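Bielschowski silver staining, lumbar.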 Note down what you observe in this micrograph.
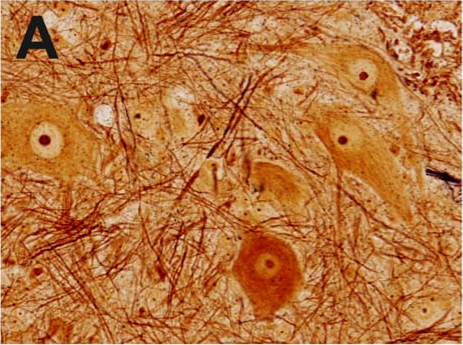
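This is spinal cord gray matter with several large neurons lying in a dense meshwork of fibres. Thick processes extend from some cell bodies. Around them, numerous fine dark brown fibres cross in all directions.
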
